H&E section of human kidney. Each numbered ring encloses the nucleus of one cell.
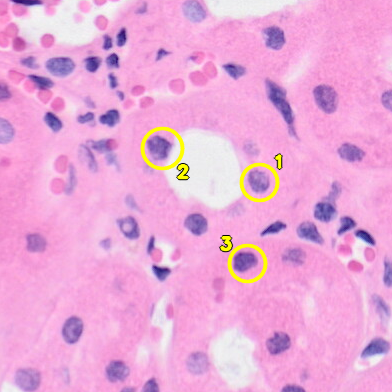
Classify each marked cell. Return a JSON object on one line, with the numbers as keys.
{"1": "loop of Henle or distal tubule cell", "2": "loop of Henle or distal tubule cell", "3": "proximal tubule cell"}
